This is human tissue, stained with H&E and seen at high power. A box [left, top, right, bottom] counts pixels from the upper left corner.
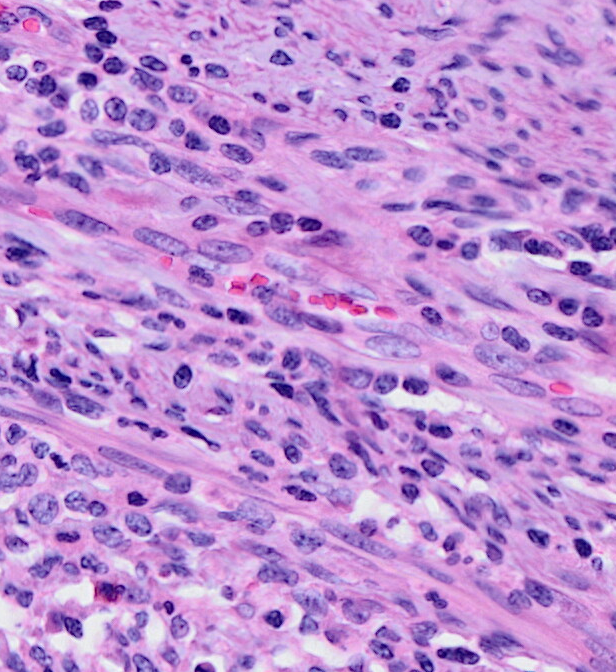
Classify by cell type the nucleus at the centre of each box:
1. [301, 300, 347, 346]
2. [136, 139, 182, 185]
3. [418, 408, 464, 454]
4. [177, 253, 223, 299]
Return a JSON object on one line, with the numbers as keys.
{"1": "endothelial cell", "2": "lymphocyte", "3": "lymphocyte", "4": "endothelial cell"}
